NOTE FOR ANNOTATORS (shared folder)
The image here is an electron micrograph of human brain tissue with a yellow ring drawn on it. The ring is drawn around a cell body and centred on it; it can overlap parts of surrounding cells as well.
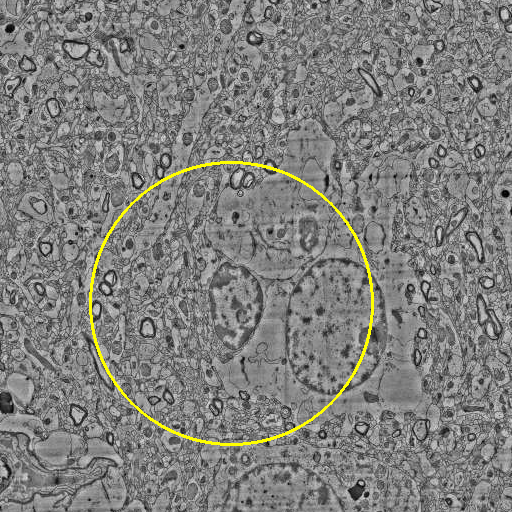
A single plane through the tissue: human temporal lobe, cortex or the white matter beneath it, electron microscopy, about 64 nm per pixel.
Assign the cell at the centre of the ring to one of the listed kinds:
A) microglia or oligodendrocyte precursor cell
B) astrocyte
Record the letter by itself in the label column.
A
